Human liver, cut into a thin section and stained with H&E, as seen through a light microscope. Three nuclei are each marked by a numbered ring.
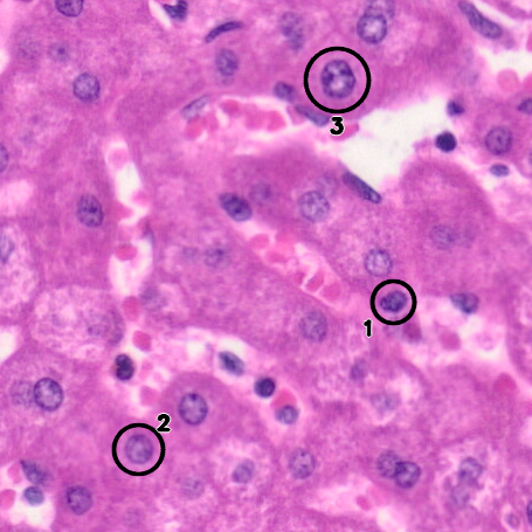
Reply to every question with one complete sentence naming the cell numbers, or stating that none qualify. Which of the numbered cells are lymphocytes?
The marked and numbered cells comprise no lymphocytes.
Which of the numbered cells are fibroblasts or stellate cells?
Only the nucleus marked 1 is that of a fibroblast or stellate cell.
